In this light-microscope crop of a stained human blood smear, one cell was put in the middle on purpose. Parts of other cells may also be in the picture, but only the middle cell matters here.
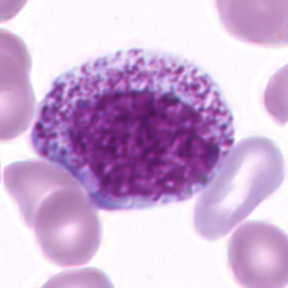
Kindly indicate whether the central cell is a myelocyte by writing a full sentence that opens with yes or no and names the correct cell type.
Yes, this crop has a myelocyte at its centre.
